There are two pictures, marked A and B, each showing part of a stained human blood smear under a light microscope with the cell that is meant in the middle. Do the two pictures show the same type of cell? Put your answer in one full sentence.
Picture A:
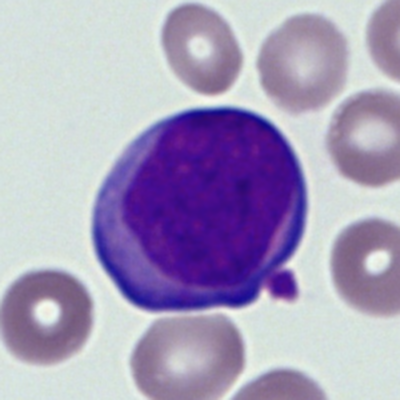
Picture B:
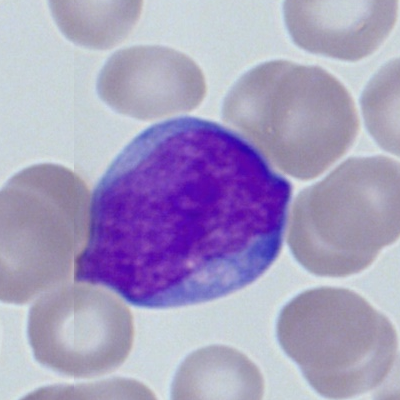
Yes, the two pictures both show myeloblasts.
